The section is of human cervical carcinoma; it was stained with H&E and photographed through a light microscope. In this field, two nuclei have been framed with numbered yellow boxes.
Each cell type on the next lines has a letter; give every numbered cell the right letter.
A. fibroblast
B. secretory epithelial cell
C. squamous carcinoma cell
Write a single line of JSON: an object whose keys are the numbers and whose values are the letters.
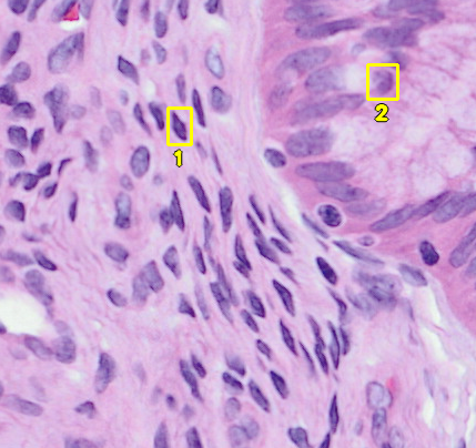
{"1": "A", "2": "B"}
